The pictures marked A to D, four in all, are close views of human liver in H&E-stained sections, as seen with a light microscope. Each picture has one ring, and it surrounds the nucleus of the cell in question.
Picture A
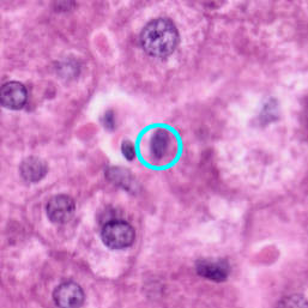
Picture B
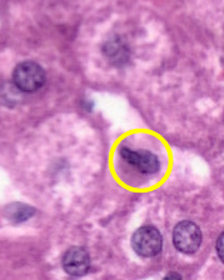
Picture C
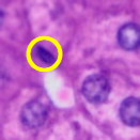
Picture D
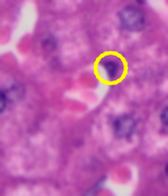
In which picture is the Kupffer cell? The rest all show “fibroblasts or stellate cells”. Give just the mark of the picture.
B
